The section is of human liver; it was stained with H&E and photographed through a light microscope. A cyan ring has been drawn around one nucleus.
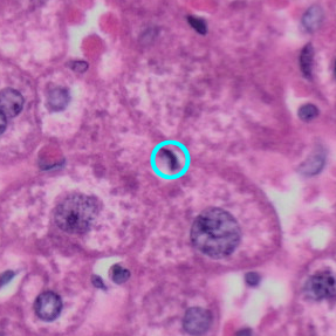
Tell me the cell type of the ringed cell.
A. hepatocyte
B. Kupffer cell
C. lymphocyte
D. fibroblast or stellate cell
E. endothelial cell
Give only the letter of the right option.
E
